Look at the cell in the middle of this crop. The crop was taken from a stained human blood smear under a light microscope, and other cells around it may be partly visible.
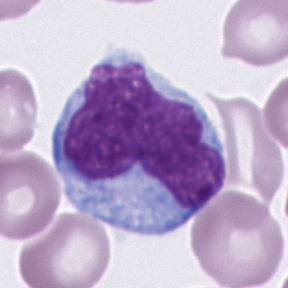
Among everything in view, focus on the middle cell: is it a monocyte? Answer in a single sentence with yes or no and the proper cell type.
Yes, the identity of the central cell is that of a monocyte.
